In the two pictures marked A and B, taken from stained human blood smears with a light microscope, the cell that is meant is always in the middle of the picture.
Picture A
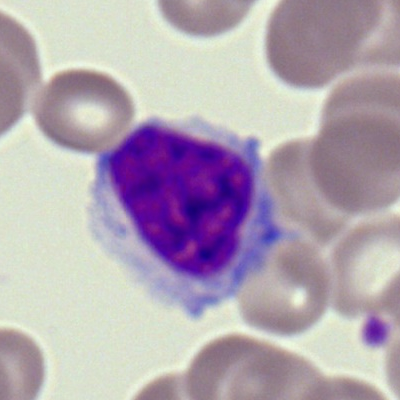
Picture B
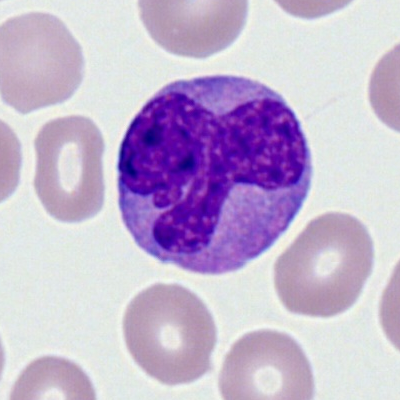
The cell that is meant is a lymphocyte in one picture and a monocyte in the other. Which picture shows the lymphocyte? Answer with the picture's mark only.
A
